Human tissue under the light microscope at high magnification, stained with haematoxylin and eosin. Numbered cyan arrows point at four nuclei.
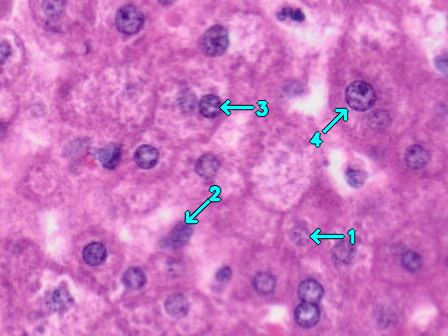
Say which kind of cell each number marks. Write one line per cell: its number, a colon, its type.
1: hepatocyte
2: Kupffer cell
3: hepatocyte
4: hepatocyte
